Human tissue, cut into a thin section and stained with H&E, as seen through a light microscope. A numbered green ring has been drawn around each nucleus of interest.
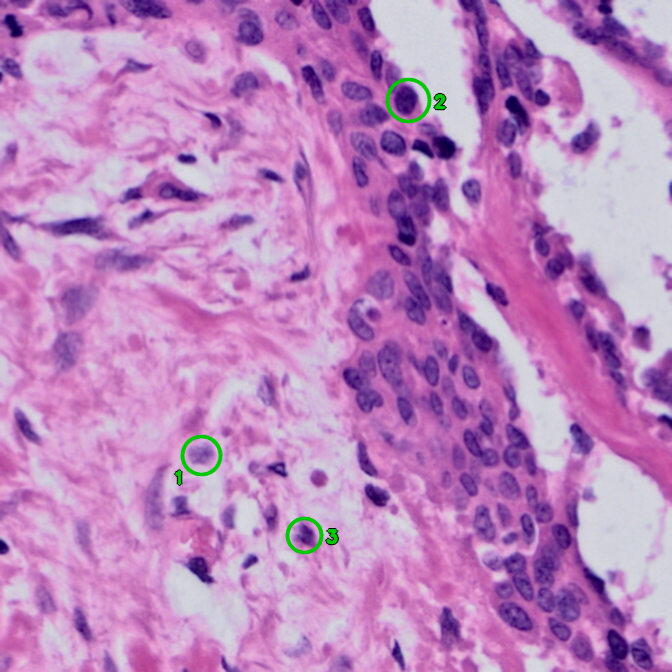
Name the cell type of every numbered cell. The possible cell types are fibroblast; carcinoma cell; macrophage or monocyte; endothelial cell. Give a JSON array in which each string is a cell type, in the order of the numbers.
["fibroblast", "carcinoma cell", "fibroblast"]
